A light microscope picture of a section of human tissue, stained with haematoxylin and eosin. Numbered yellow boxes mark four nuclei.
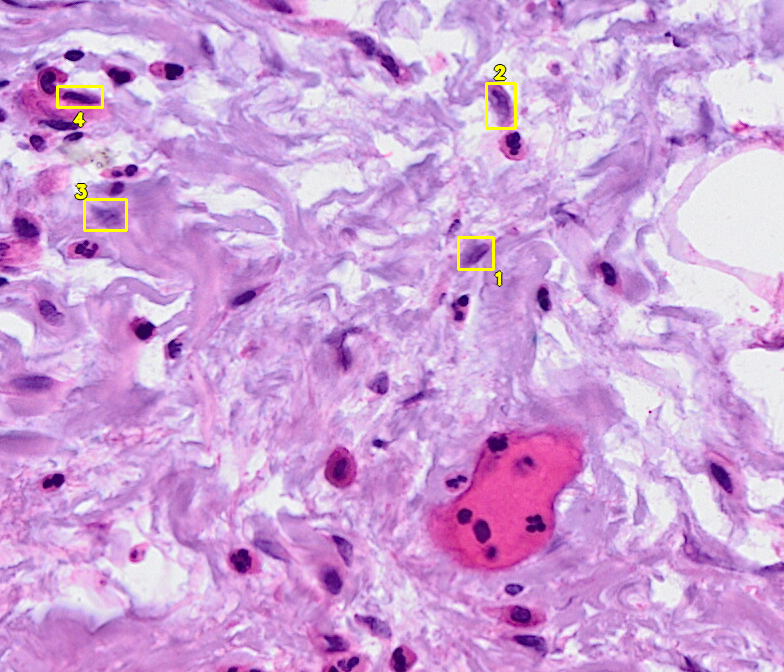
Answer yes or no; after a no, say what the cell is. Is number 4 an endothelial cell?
Yes.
